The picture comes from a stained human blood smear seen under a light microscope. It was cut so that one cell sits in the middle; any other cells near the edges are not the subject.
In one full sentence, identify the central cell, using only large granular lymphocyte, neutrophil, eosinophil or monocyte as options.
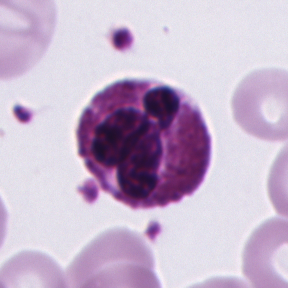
For this crop, the cell in the middle is an eosinophil.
